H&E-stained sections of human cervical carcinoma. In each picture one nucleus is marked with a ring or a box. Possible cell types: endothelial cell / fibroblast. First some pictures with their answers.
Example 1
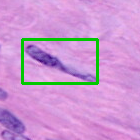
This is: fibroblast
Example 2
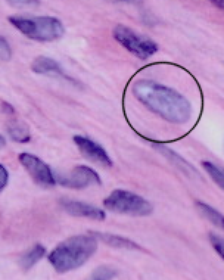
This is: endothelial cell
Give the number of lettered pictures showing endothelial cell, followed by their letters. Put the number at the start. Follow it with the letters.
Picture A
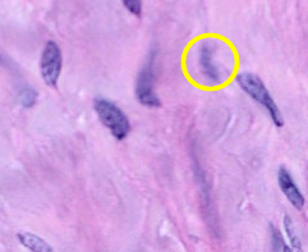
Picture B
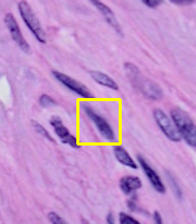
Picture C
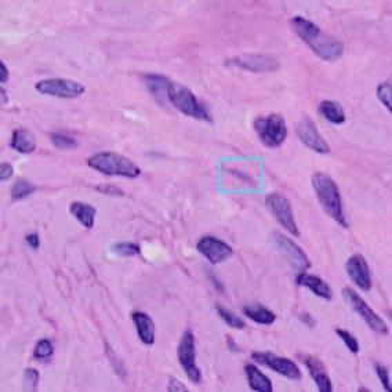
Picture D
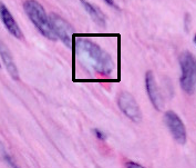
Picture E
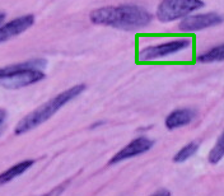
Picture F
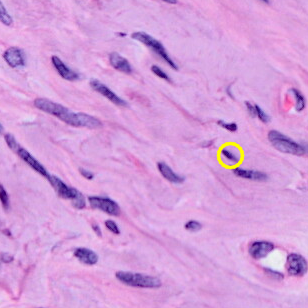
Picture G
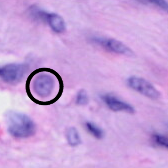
2, namely D, G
